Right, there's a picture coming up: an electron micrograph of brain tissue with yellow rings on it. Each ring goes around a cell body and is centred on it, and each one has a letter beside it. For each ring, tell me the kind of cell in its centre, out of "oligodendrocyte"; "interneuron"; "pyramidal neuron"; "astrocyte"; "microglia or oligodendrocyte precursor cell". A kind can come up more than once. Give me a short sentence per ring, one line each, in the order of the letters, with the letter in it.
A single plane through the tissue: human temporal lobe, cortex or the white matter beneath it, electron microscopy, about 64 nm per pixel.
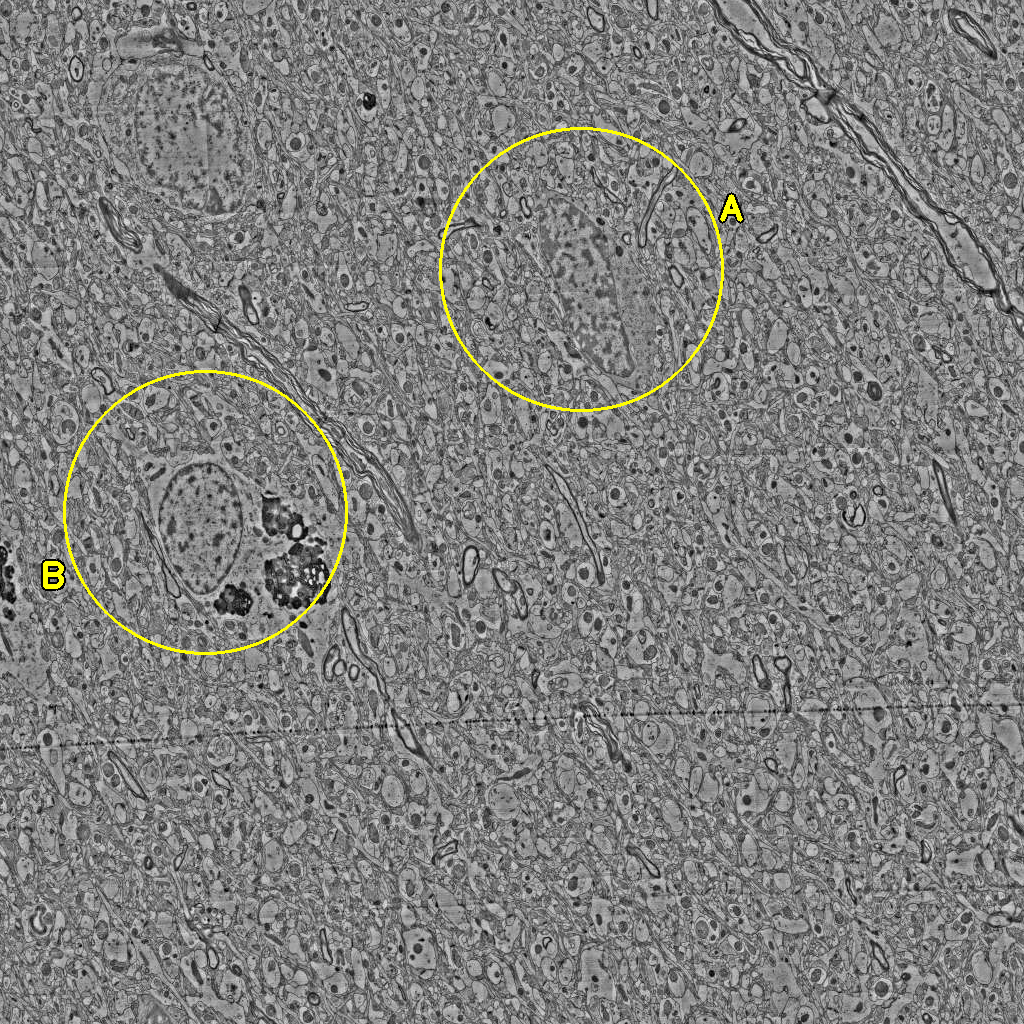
That's an oligodendrocyte in ring A.
That's an astrocyte in ring B.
